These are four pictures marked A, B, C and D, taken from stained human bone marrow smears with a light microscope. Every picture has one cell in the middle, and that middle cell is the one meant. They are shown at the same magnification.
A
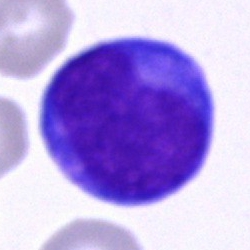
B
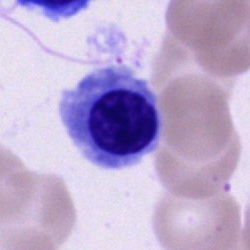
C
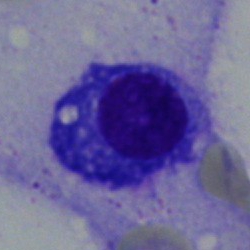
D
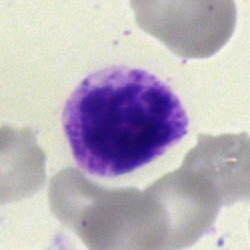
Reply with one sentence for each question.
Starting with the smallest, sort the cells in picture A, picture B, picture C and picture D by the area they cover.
The order is B, D, C, A, beginning with the smallest.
